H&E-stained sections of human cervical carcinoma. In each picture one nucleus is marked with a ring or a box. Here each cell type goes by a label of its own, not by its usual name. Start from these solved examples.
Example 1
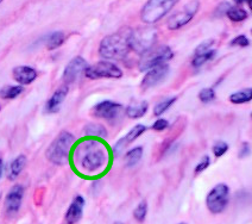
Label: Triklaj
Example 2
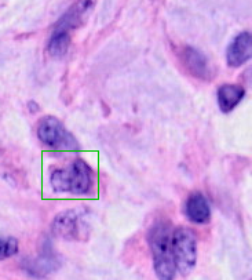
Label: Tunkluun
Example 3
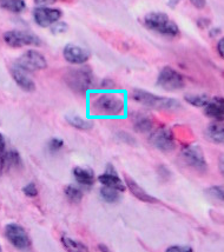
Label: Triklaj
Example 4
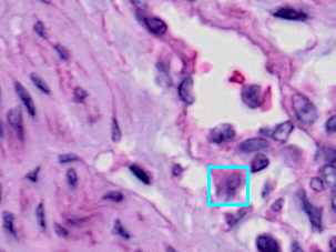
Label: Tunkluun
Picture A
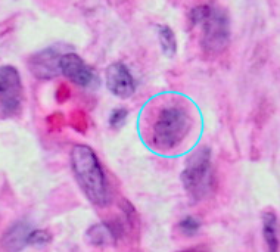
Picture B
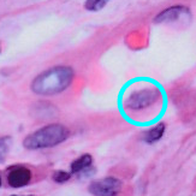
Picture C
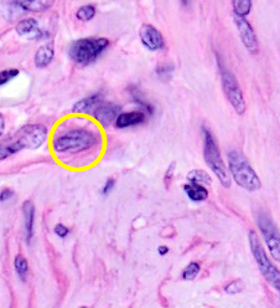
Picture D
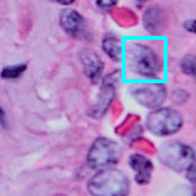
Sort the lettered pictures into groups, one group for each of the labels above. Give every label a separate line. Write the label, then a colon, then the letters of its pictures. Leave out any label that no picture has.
Triklaj: B, C, D
Tunkluun: A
